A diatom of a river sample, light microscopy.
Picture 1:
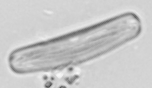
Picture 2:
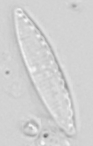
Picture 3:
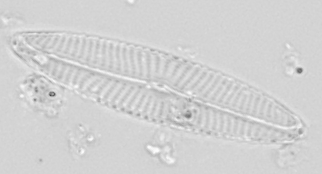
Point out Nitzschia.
That is picture 2.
